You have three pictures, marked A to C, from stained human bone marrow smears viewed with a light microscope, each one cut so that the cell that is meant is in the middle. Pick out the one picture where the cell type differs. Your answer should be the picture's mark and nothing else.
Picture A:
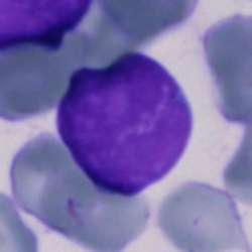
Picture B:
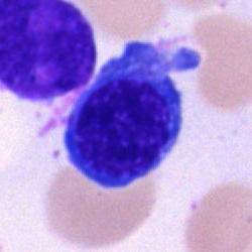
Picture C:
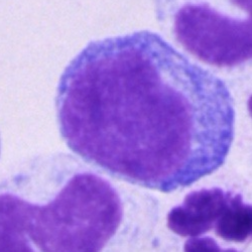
B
